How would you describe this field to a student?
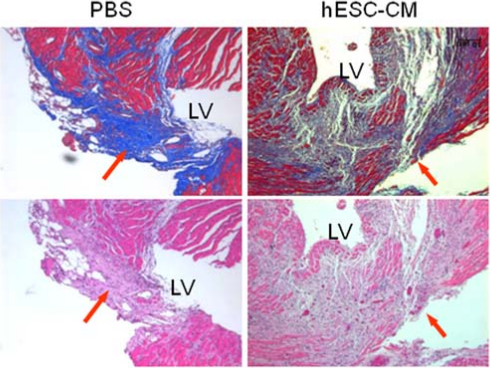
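Sections of the left ventricular wall bordering the cavity, with bundles of red-stained muscle fibers in the top images and pink muscle in the lower images. Next to the cavity lies a fibrotic scar, in the top left image a broad band of blue connective tissue with scattered small vessels, in the top right image thinner blue strands running between red muscle. In the lower images the scarred zone appears as paler, loosely fibrous tissue beside the denser pink muscle.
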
